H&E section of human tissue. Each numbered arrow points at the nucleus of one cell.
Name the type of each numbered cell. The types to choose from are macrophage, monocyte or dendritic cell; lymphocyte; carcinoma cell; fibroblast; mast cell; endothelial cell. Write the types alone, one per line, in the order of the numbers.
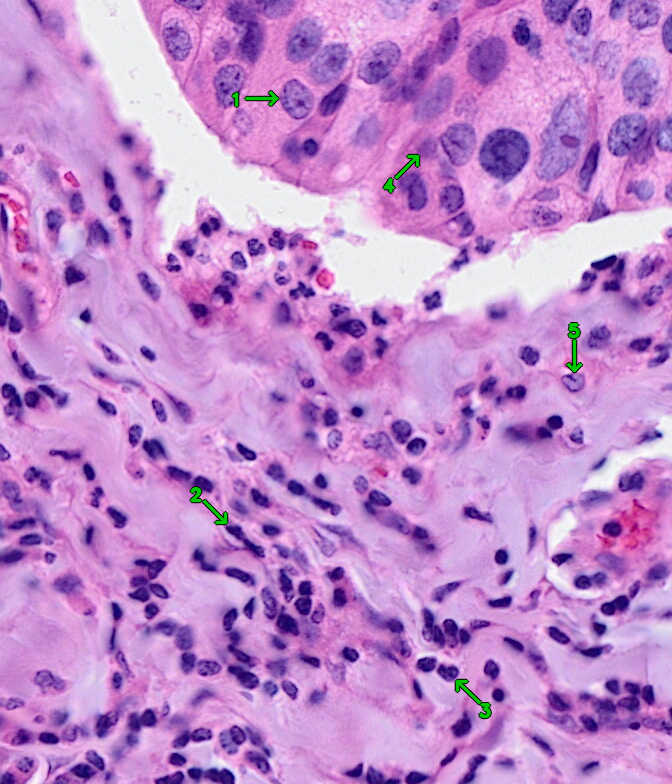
carcinoma cell
lymphocyte
lymphocyte
carcinoma cell
endothelial cell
